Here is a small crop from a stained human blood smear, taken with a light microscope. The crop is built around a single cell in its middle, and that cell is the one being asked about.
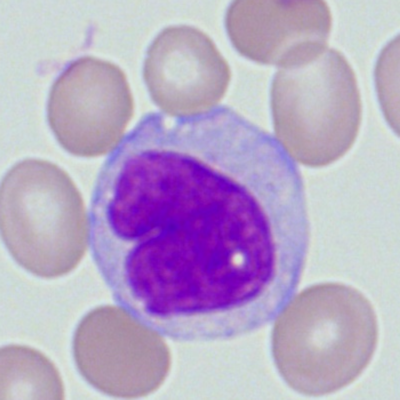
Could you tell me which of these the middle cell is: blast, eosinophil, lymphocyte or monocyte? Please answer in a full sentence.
Classification of the middle cell gives a monocyte.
